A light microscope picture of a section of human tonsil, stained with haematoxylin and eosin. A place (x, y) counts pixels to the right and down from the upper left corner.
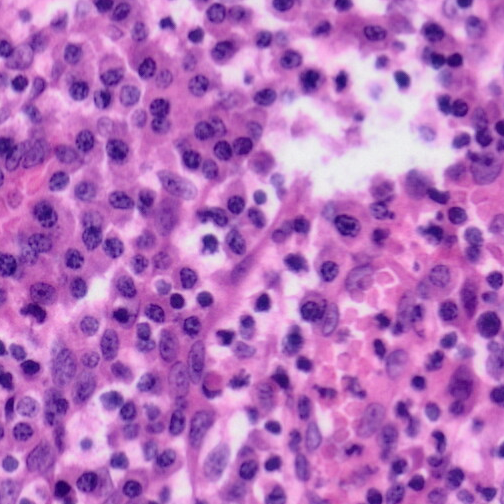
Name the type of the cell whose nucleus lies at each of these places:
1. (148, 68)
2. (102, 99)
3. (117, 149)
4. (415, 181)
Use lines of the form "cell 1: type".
cell 1: plasma cell
cell 2: plasma cell
cell 3: plasma cell
cell 4: squamous epithelial cell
